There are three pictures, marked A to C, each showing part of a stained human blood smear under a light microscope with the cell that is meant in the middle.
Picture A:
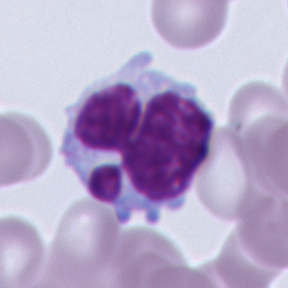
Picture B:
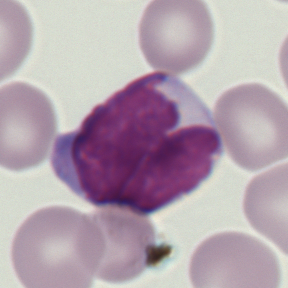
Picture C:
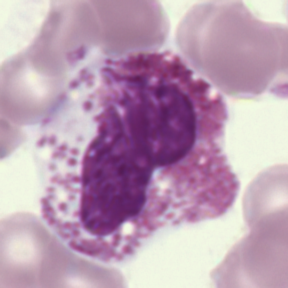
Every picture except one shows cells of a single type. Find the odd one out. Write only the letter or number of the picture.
C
